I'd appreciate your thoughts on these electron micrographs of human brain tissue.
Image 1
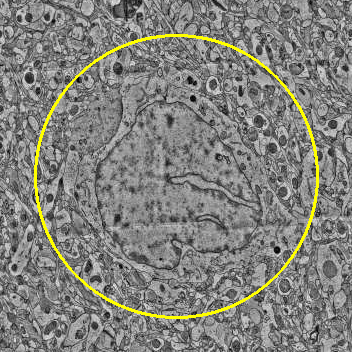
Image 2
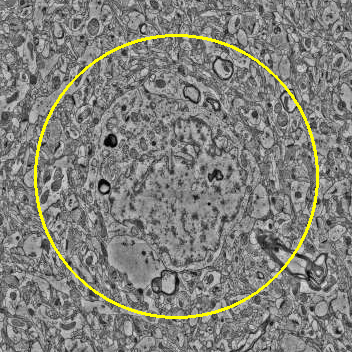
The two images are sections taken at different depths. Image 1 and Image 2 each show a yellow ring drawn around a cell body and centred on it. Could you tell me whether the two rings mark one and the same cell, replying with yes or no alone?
no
